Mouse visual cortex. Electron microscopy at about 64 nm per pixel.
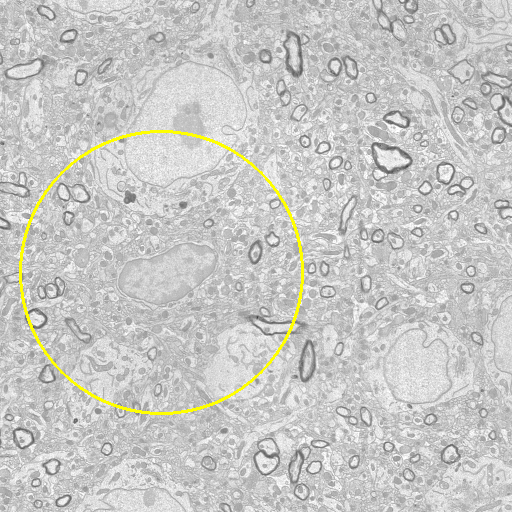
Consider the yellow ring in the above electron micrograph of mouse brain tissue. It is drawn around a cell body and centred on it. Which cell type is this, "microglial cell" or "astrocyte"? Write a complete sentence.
The cell in question is a microglial cell.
